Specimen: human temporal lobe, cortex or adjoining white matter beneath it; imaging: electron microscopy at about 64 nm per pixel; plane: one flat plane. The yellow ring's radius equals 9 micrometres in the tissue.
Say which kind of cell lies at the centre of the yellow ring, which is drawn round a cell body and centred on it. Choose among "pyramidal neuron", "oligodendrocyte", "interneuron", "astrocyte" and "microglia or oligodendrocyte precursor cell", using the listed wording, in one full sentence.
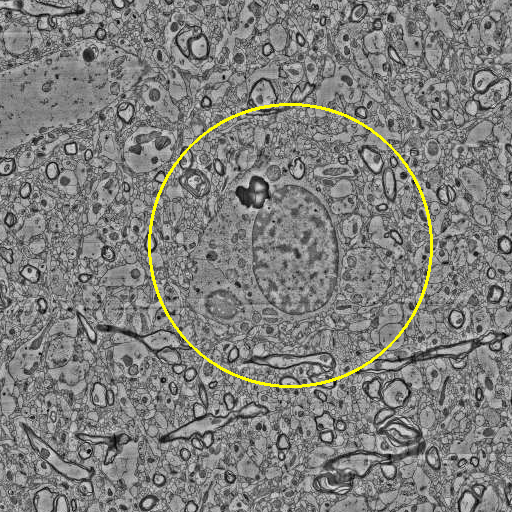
Going by the list, the cell at the yellow ring's centre is an oligodendrocyte.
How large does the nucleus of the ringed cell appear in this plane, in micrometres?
Roughly 8 by 6 micrometres is the size of the nucleus in this plane.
